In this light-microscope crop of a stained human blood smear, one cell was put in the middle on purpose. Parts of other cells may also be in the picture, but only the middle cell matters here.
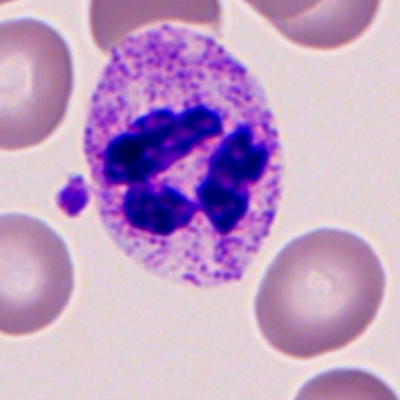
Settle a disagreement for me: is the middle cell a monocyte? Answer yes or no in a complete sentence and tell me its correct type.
No, what occupies the middle of the crop is a segmented neutrophil and not a monocyte.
